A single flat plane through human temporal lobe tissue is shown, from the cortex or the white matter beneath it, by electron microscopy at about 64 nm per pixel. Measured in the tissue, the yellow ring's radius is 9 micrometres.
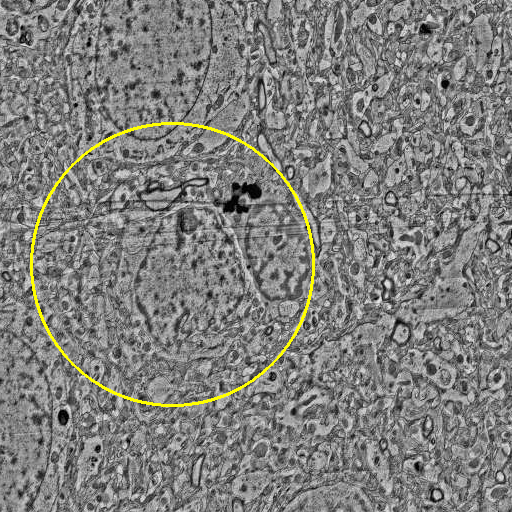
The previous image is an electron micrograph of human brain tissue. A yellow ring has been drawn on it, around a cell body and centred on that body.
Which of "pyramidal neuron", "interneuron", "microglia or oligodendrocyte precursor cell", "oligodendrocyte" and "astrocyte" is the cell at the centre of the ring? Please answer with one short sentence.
The cell body at the centre of the ring belongs to an interneuron.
